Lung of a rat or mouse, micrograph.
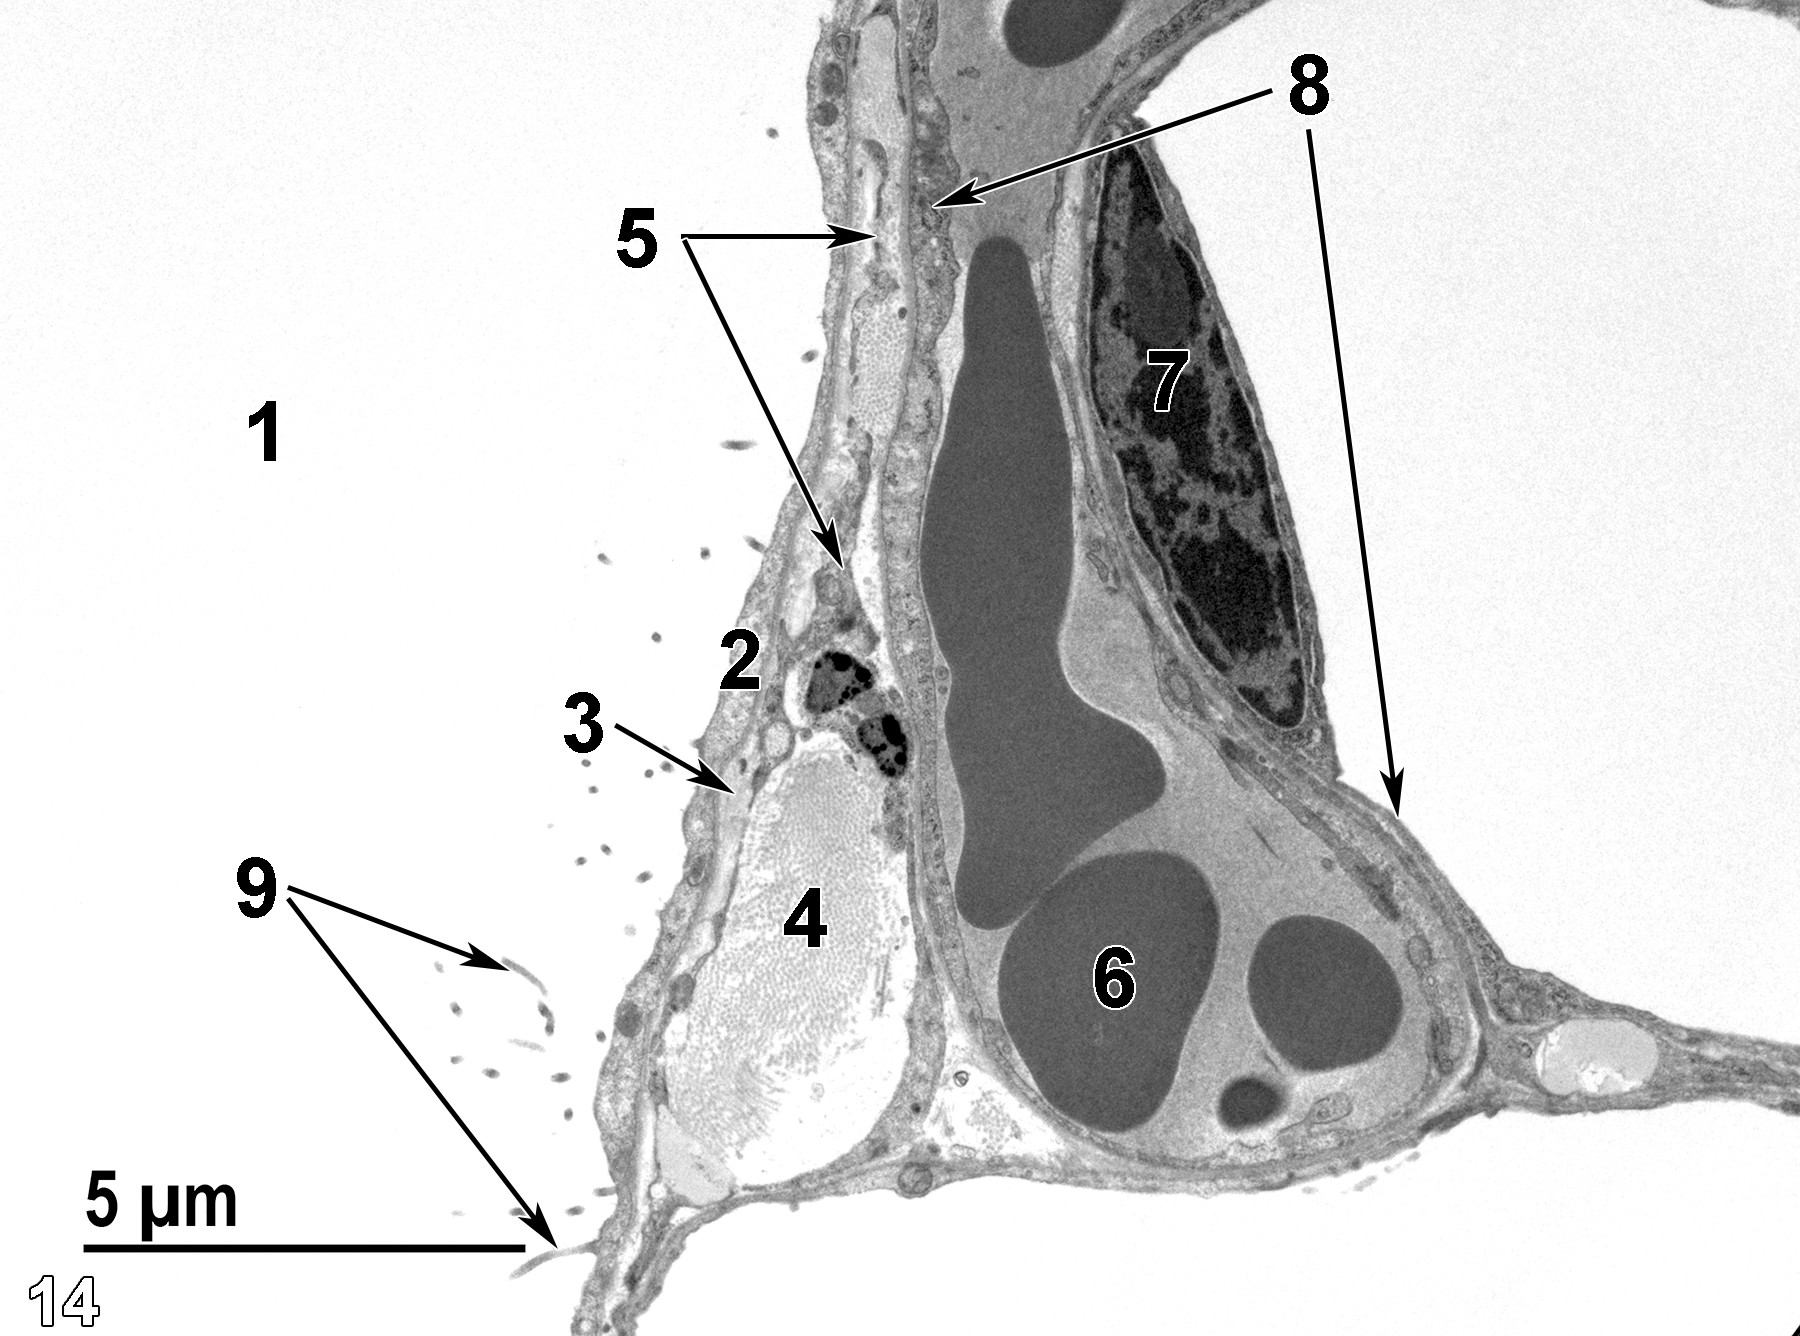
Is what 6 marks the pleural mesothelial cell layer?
No, it marks the erythrocytes; the pleural mesothelial cell layer is at 2.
